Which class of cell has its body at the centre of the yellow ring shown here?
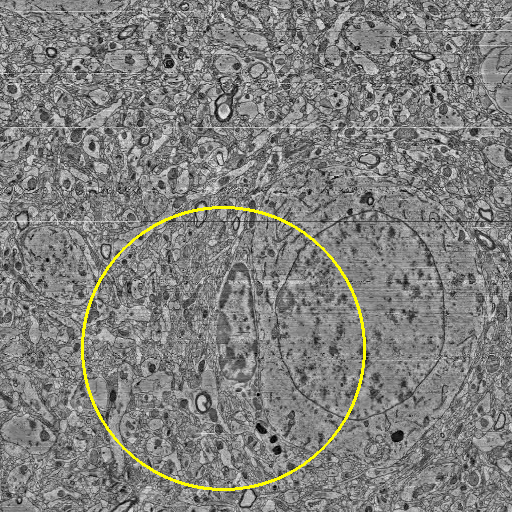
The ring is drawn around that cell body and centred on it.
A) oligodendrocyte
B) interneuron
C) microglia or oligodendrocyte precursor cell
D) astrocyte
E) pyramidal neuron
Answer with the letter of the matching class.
C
